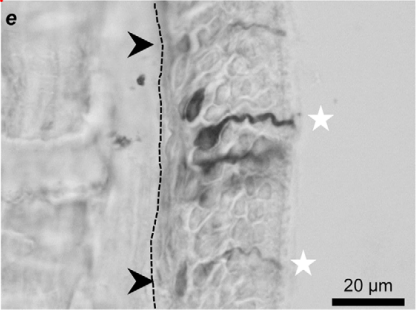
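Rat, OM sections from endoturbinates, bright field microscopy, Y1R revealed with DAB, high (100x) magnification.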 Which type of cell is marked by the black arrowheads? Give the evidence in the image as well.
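The black arrowheads point to cells right beside the dashed line at the base of the epithelium. These cells lie far from the free surface. The answer: basally situated cells.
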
